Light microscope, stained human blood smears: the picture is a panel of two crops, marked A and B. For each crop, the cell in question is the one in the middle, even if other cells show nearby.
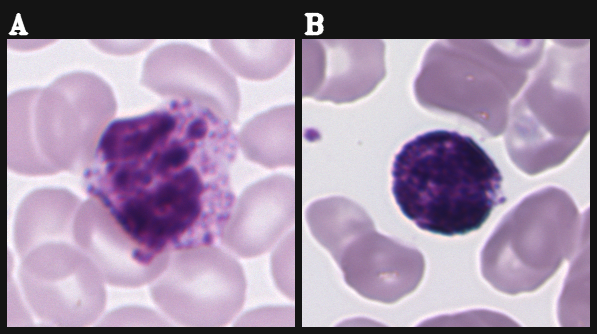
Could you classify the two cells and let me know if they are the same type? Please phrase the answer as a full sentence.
Yes, these two crops both show basophils.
